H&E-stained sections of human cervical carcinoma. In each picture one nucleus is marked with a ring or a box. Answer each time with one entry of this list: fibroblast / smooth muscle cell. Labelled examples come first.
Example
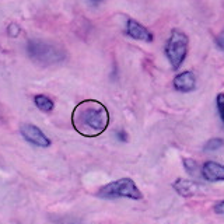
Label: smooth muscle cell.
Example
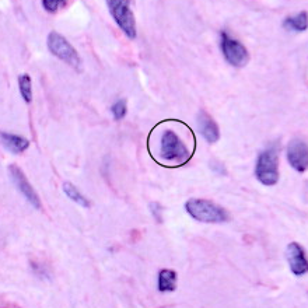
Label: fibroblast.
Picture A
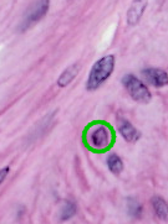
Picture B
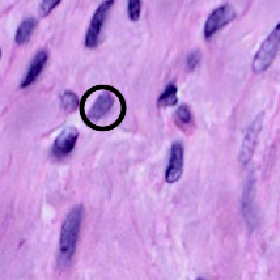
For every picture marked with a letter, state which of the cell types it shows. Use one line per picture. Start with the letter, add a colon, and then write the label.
A: smooth muscle cell.
B: fibroblast.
